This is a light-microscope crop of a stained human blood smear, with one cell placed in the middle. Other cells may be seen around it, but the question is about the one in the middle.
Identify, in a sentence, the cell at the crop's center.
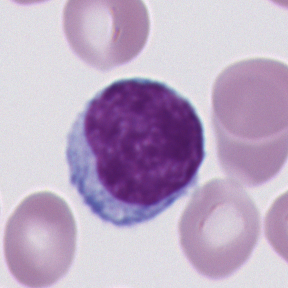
In the centre of this crop there is a typical lymphocyte.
